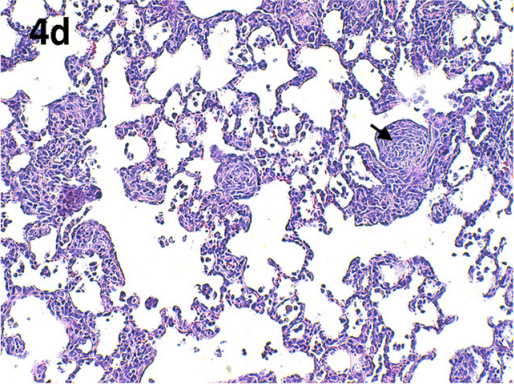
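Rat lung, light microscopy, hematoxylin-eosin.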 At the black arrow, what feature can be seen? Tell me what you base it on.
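A rounded nodule of densely packed, whorled cells with purple nuclei sits inside an alveolar space. Similar cellular plugs fill several neighbouring airspaces.
Hence: buds of granulation tissue.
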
